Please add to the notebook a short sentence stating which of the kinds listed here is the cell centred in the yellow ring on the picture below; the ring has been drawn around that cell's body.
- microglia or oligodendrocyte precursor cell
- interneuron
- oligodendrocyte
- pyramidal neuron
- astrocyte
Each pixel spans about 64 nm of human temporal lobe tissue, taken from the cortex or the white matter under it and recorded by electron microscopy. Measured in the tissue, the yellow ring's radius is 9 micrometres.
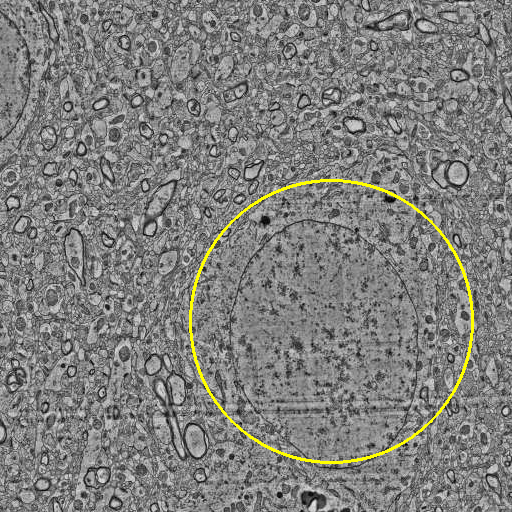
The cell centred in the yellow ring is a pyramidal neuron.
